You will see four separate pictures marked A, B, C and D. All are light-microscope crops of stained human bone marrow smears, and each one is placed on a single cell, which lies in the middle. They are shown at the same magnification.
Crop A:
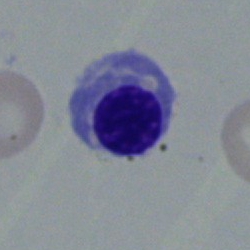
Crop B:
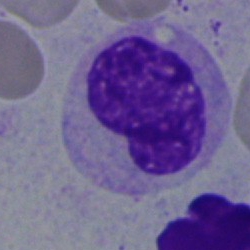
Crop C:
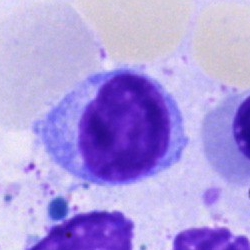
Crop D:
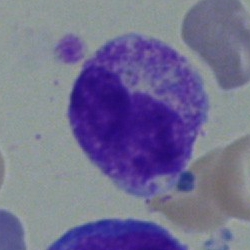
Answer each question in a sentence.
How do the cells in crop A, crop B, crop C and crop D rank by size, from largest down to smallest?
Going down, they run B, D, C, A.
